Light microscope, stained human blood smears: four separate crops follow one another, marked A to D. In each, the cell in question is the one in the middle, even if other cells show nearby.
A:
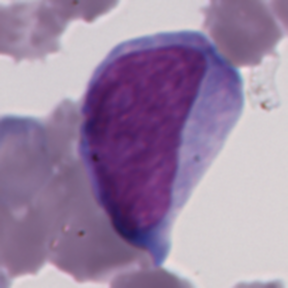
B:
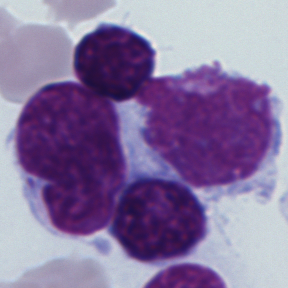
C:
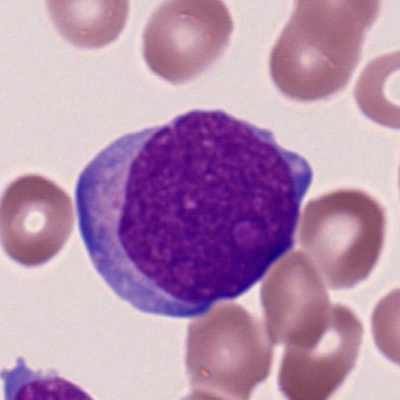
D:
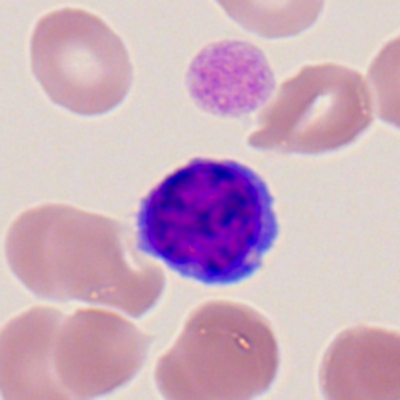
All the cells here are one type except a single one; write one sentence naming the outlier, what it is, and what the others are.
The one crop not showing blasts is crop D, which shows a lymphocyte.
